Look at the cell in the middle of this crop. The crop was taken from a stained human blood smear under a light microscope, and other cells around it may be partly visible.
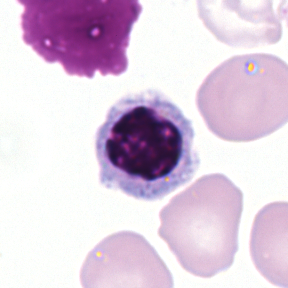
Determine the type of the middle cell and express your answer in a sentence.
Among the cells in view, the one in the middle is a normoblast.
